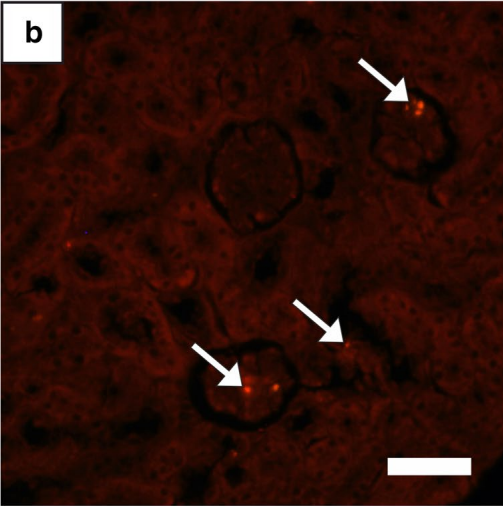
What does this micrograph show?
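A kidney tissue section in dim red fluorescence shows several rounded glomeruli, each a compact tuft surrounded by a dark ring-like capsular space, lying among the surrounding tubular tissue. Small bright orange-yellow dots lie inside two of the glomerular tufts, and a further dot sits in the tissue next to one of them.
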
